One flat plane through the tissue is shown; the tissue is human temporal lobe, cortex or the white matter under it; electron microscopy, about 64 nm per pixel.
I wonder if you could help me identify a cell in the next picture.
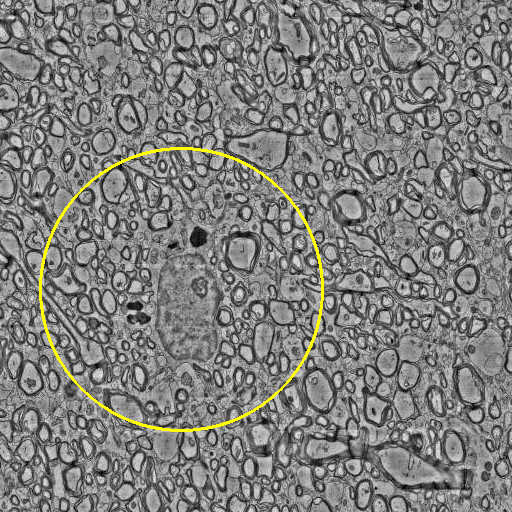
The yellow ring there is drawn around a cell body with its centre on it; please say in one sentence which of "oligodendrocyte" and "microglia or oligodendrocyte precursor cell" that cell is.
The yellow ring is centred on an oligodendrocyte.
